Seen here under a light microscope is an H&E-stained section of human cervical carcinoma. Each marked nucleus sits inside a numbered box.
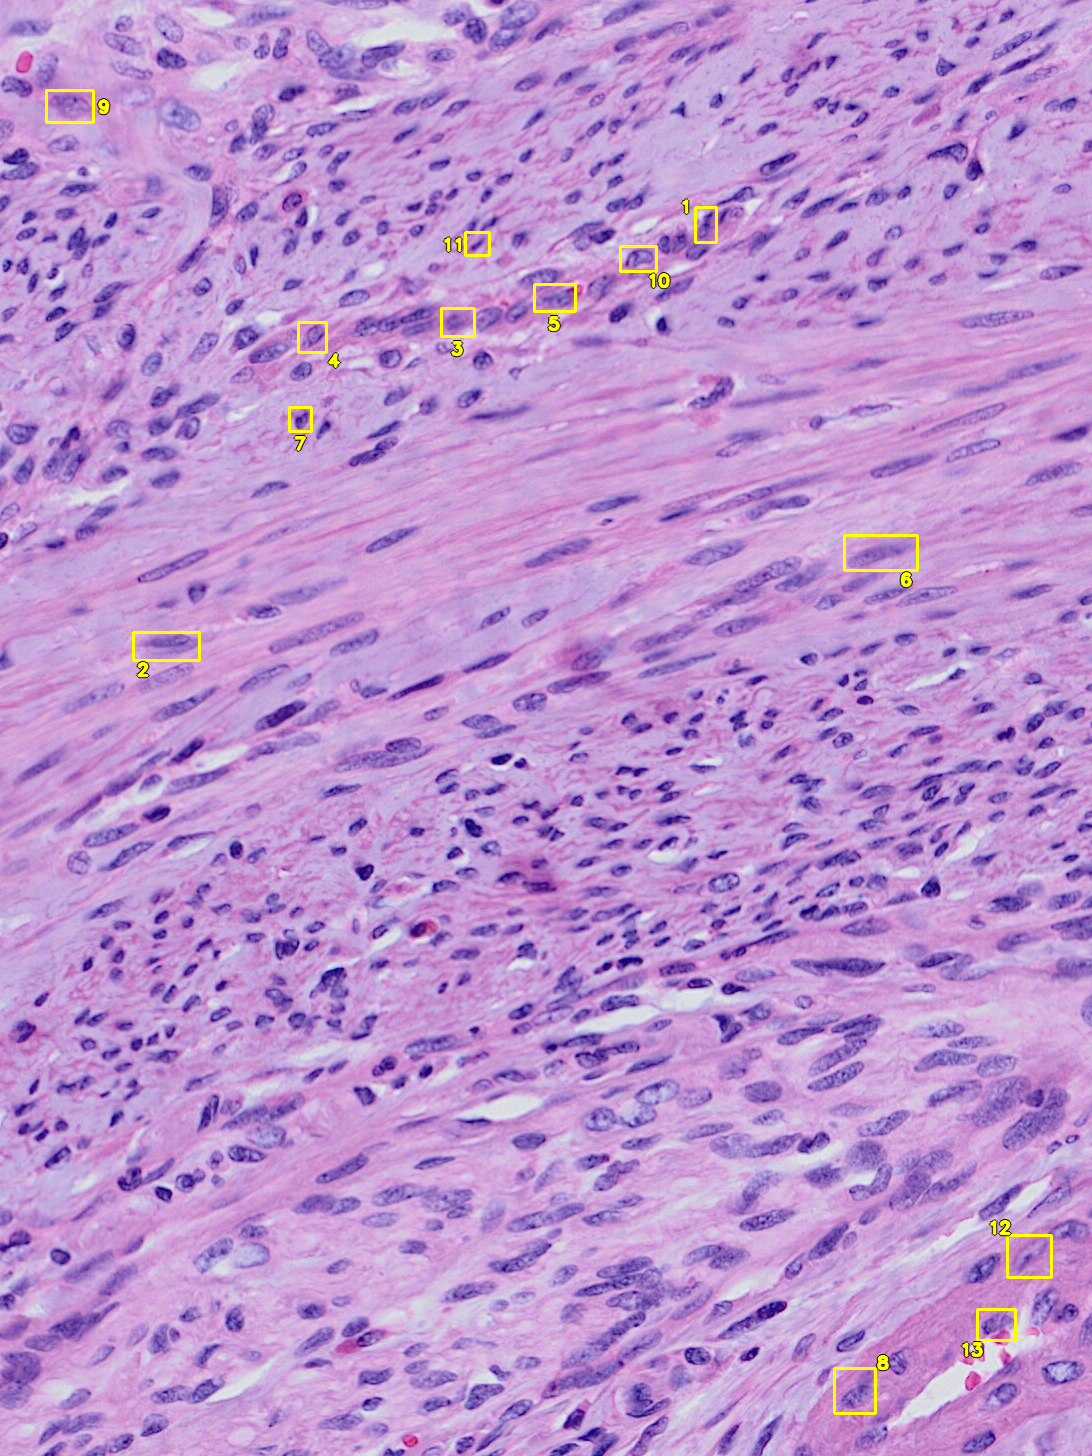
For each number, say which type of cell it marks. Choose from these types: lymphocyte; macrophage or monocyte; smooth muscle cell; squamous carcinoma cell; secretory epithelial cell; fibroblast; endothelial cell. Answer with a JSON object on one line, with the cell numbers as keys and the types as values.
{"1": "endothelial cell", "2": "fibroblast", "3": "endothelial cell", "4": "endothelial cell", "5": "endothelial cell", "6": "smooth muscle cell", "7": "smooth muscle cell", "8": "smooth muscle cell", "9": "endothelial cell", "10": "endothelial cell", "11": "smooth muscle cell", "12": "smooth muscle cell", "13": "endothelial cell"}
